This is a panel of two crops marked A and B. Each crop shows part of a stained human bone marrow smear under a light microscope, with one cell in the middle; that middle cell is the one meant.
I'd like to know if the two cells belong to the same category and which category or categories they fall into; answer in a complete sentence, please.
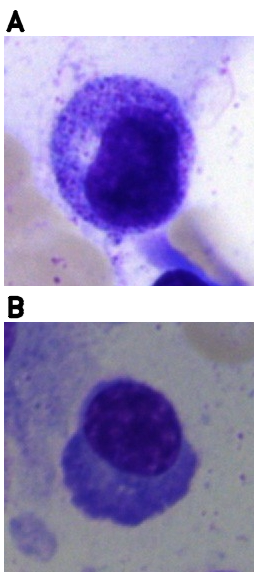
No, a promyelocyte is what crop A shows, and a plasma cell is what crop B shows.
